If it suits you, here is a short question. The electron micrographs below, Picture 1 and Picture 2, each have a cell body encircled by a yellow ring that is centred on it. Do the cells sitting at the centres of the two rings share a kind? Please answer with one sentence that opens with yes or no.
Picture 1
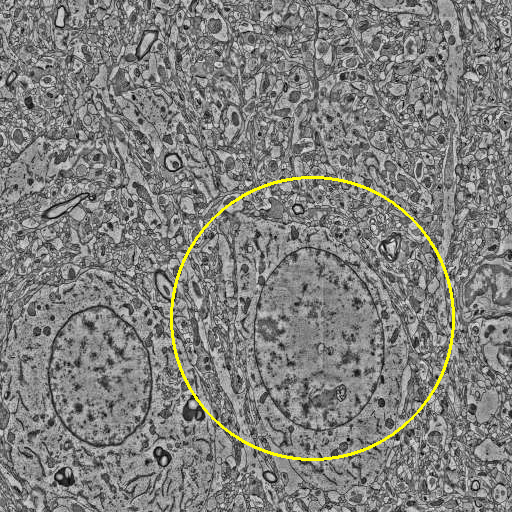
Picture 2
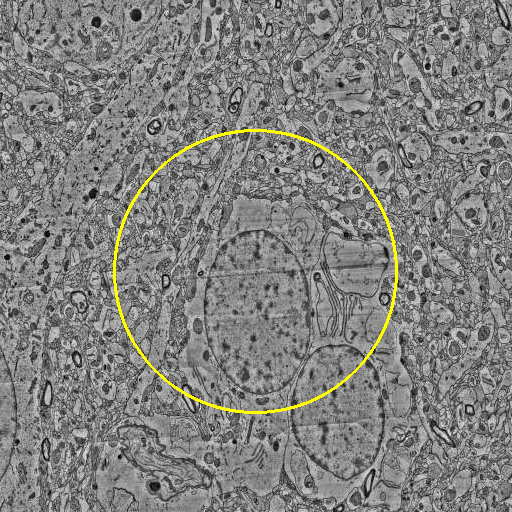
No, the two cells sitting at the ring centres fall into two kinds.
